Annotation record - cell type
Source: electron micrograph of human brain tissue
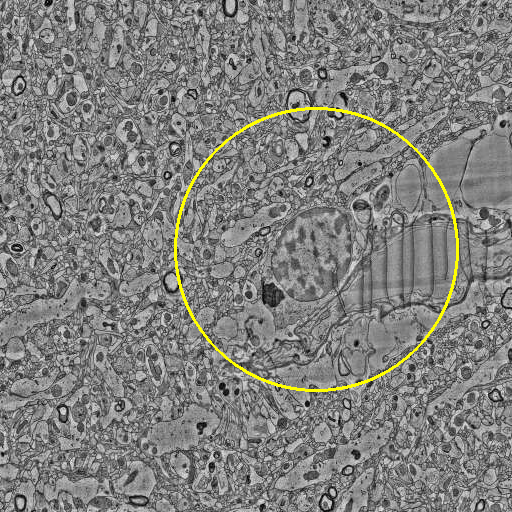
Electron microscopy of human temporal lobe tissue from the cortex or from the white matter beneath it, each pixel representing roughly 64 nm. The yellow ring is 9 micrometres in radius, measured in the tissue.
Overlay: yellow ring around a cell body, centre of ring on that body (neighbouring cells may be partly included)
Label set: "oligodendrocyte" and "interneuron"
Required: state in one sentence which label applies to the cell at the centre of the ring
This cell should be labelled as an oligodendrocyte.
